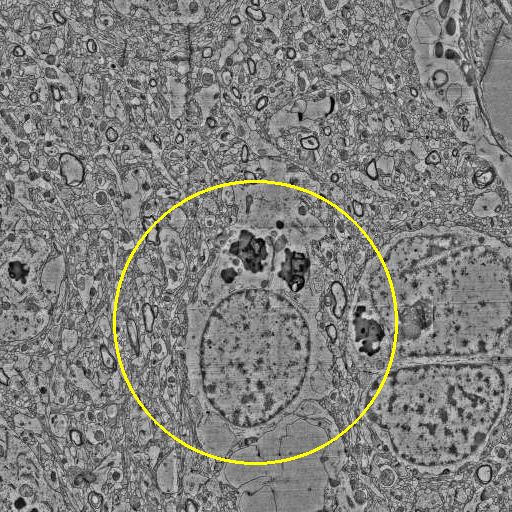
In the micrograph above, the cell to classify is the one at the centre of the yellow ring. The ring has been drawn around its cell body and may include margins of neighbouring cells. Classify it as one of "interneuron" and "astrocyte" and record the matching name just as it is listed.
astrocyte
